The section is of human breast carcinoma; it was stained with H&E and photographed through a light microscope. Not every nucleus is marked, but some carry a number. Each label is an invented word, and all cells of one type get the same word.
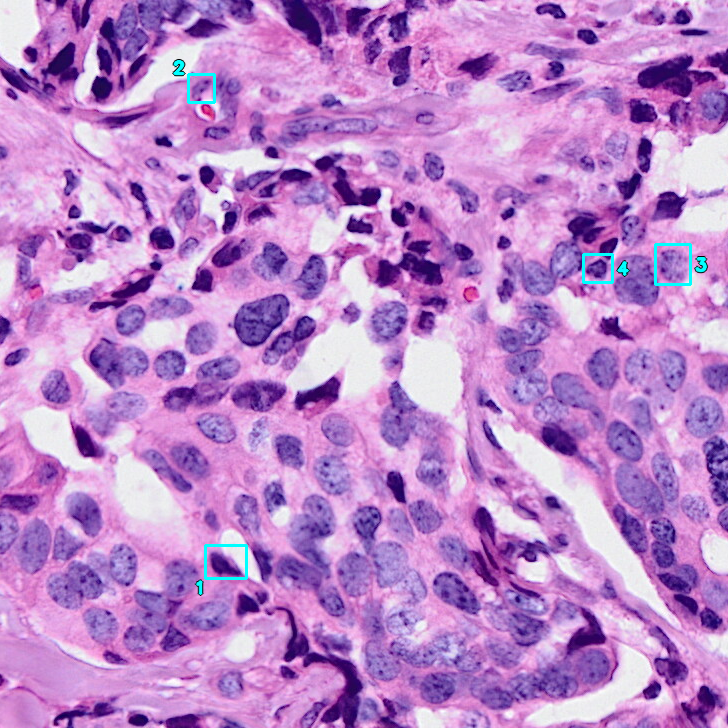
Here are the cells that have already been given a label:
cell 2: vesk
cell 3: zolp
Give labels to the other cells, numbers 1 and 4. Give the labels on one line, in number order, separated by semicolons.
zolp; zolp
